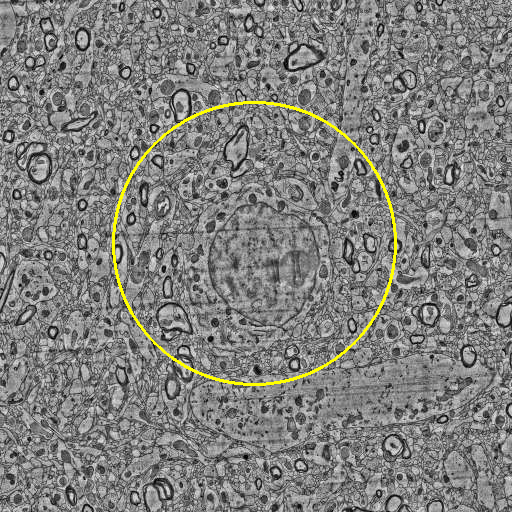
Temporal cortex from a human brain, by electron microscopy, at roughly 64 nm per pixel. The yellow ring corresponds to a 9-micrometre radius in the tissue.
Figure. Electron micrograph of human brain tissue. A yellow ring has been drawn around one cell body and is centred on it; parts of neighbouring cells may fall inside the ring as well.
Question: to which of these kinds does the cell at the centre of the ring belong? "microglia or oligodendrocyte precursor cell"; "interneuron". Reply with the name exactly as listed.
interneuron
